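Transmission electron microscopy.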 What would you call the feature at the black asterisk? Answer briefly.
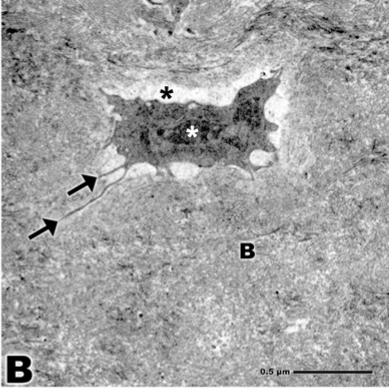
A: Lacuna.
